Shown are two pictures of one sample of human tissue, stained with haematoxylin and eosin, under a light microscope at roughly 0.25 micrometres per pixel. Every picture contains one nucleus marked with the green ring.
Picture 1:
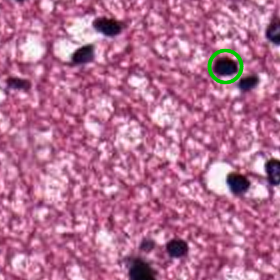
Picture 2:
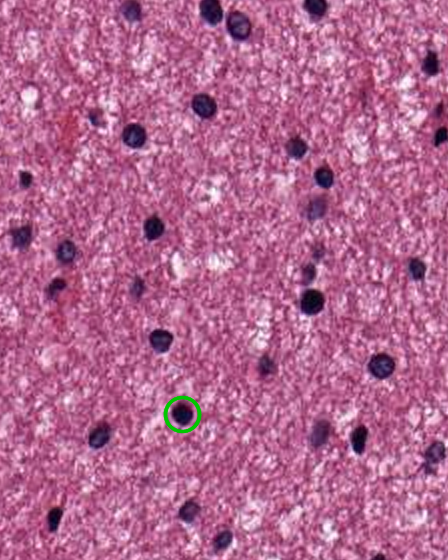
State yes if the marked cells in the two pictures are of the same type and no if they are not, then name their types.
Yes, both are oligodendrocytes.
